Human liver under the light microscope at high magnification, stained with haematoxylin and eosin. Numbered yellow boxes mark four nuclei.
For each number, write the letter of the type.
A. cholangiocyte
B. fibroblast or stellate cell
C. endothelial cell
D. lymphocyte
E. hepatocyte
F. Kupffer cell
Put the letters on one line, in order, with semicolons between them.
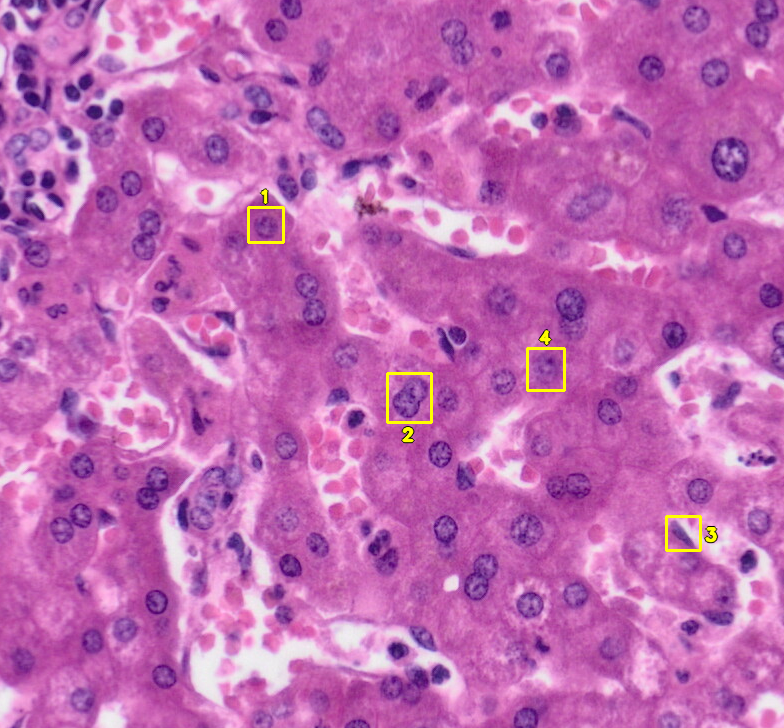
E; E; C; E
